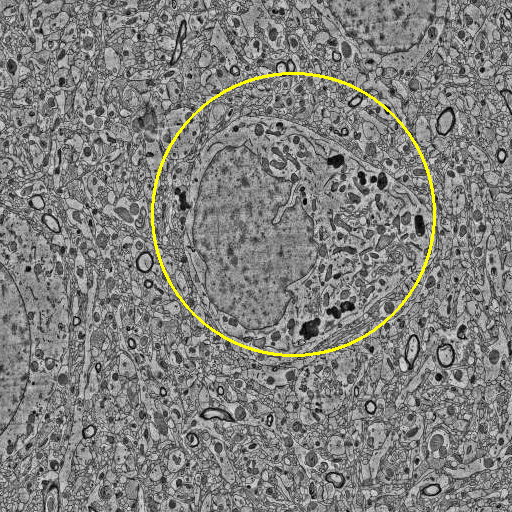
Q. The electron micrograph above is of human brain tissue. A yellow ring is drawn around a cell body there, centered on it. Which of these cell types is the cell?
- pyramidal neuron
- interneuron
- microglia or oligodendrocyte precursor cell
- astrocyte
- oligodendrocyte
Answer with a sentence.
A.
The cell under the ring's center is an interneuron.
